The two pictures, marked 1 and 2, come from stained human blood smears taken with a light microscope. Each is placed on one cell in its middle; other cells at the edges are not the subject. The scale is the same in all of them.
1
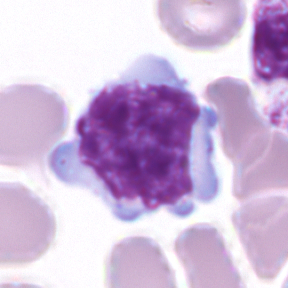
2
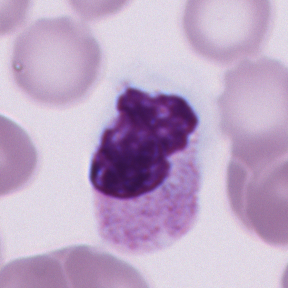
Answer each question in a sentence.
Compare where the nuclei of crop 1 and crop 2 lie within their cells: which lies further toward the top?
In crop 2 the nucleus is shifted more toward the top.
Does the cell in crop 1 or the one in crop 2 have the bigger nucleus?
Larger is the nucleus in crop 1, at roughly 1.5 times the area of the other.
